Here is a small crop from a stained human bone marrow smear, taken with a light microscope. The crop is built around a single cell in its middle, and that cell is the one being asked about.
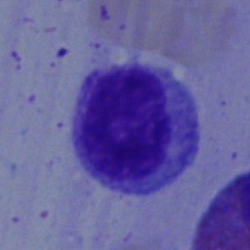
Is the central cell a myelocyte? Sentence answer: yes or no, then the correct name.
Yes, the cell centred in this crop is a myelocyte.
